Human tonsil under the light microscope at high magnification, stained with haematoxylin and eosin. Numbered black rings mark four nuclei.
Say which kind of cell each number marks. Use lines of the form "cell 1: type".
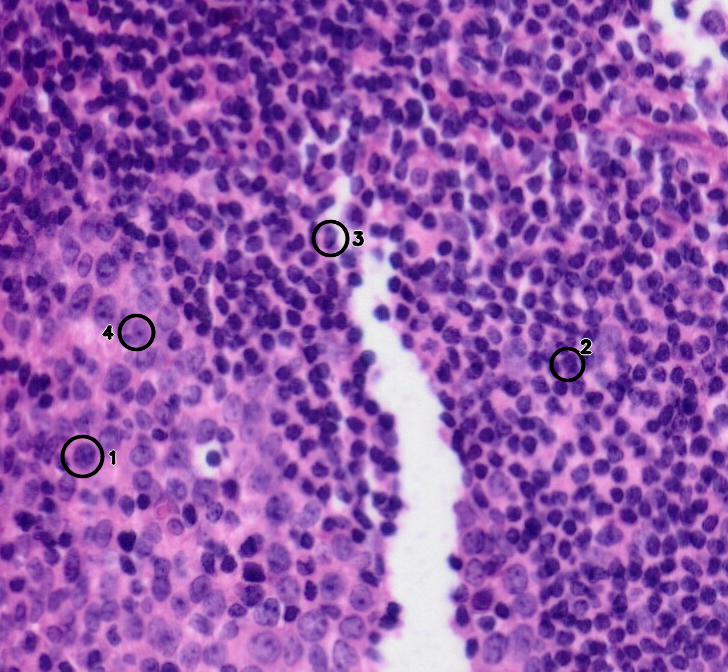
cell 1: proliferating B cell
cell 2: small lymphocyte
cell 3: small lymphocyte
cell 4: proliferating B cell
